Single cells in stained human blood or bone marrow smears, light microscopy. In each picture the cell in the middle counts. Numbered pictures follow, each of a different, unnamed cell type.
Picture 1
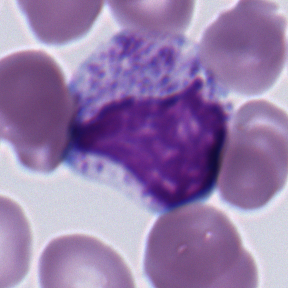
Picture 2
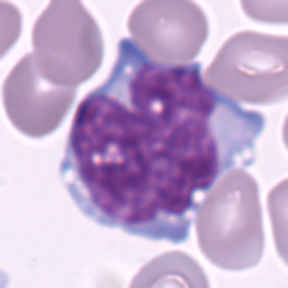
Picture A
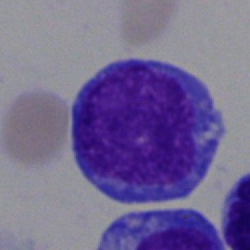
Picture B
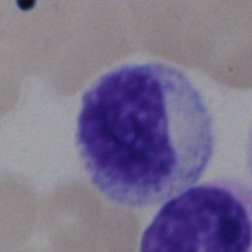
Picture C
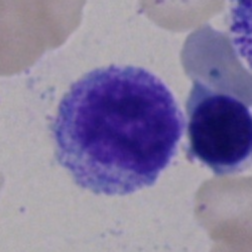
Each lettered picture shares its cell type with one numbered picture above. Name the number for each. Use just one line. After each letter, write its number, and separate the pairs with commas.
A 2, B 1, C 1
